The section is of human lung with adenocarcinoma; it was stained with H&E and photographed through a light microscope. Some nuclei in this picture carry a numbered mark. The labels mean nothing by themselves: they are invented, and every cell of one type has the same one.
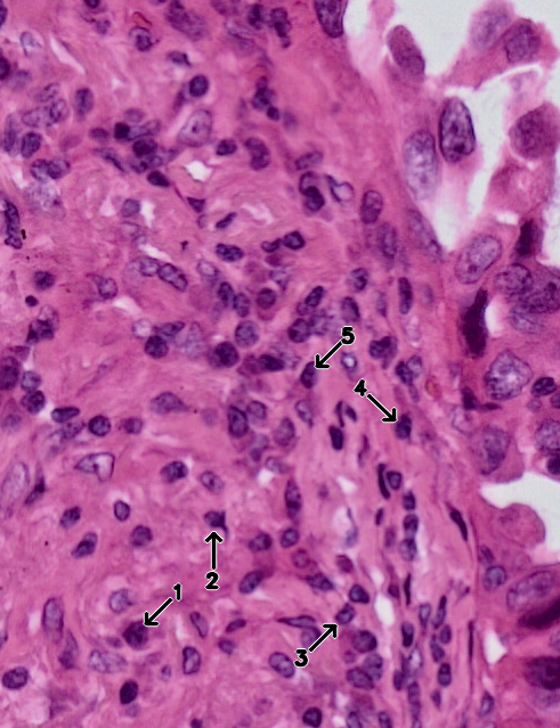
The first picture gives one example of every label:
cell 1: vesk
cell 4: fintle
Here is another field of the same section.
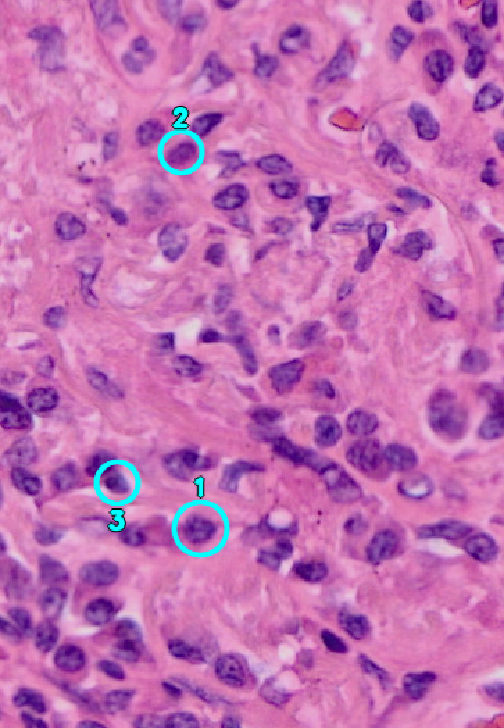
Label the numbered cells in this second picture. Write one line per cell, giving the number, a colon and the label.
1: vesk
2: vesk
3: fintle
